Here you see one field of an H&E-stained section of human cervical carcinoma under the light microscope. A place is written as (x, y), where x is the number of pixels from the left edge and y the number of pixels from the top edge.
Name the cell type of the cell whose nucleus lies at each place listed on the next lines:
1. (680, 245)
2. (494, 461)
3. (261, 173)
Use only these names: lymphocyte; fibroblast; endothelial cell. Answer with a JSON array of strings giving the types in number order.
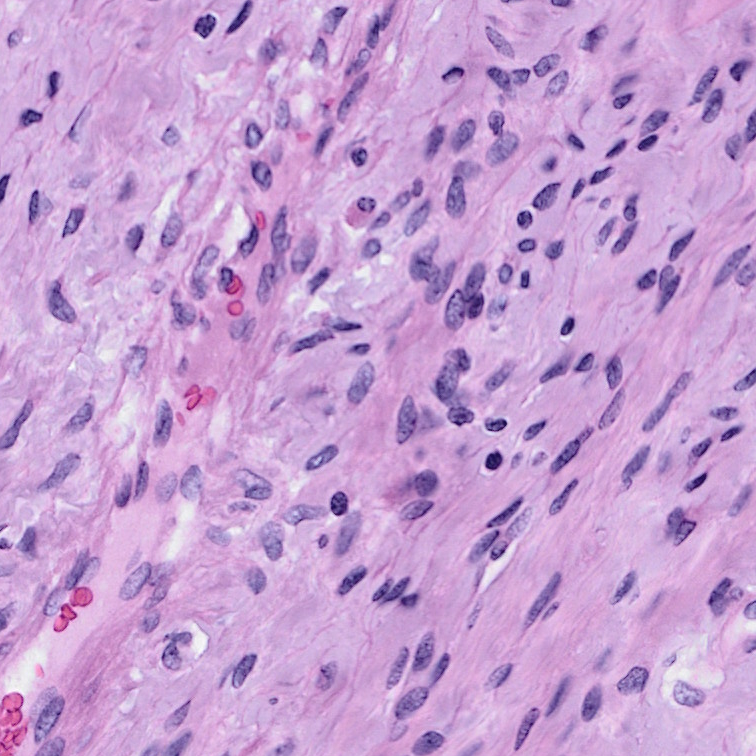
["fibroblast", "lymphocyte", "endothelial cell"]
